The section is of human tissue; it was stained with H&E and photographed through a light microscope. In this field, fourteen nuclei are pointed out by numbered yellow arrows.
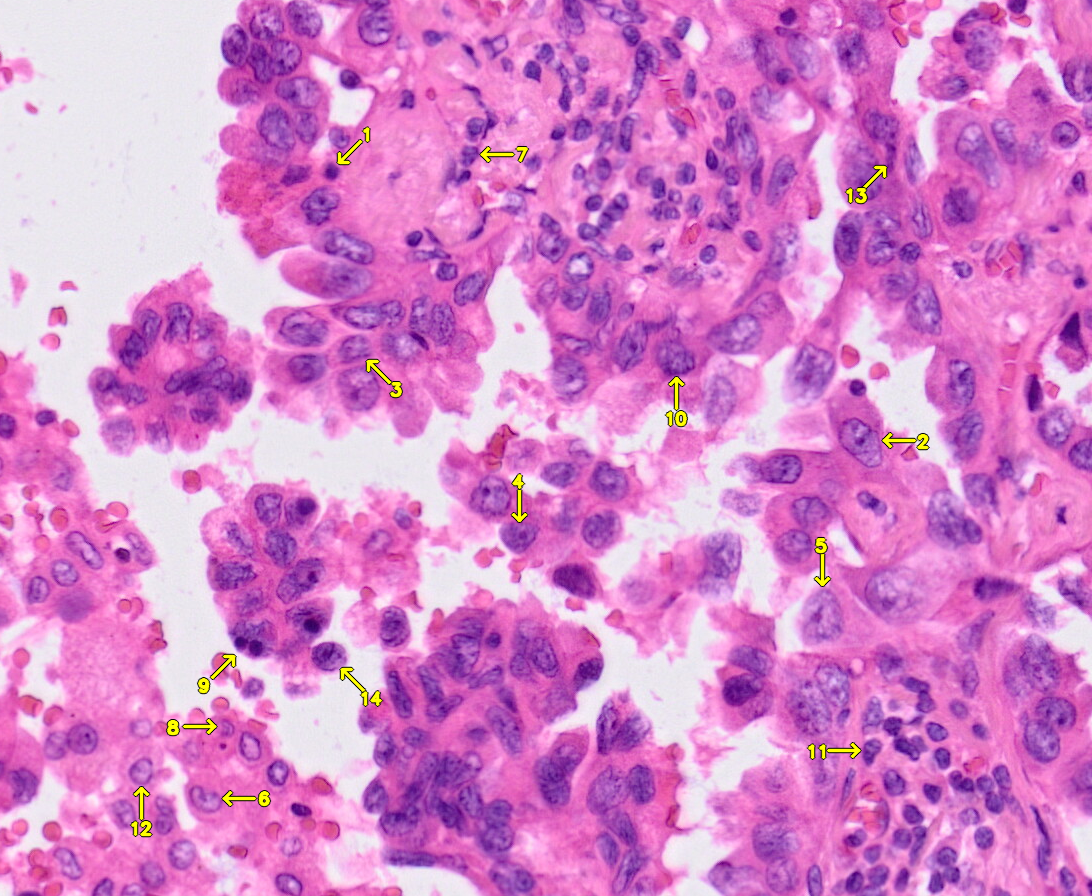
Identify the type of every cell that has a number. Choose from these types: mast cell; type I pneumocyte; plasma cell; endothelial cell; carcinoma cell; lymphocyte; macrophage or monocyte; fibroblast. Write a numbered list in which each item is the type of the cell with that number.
1. lymphocyte
2. carcinoma cell
3. carcinoma cell
4. carcinoma cell
5. carcinoma cell
6. macrophage or monocyte
7. lymphocyte
8. macrophage or monocyte
9. carcinoma cell
10. carcinoma cell
11. lymphocyte
12. macrophage or monocyte
13. carcinoma cell
14. carcinoma cell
